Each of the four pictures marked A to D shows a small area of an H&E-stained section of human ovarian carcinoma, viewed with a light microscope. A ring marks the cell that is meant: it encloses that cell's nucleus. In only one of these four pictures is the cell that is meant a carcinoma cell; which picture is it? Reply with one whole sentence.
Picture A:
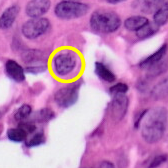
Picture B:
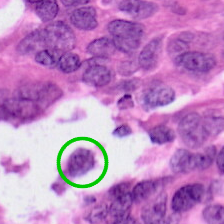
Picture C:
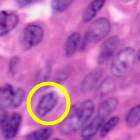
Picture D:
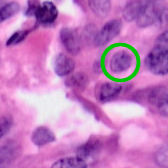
The carcinoma cell is the one in picture B.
